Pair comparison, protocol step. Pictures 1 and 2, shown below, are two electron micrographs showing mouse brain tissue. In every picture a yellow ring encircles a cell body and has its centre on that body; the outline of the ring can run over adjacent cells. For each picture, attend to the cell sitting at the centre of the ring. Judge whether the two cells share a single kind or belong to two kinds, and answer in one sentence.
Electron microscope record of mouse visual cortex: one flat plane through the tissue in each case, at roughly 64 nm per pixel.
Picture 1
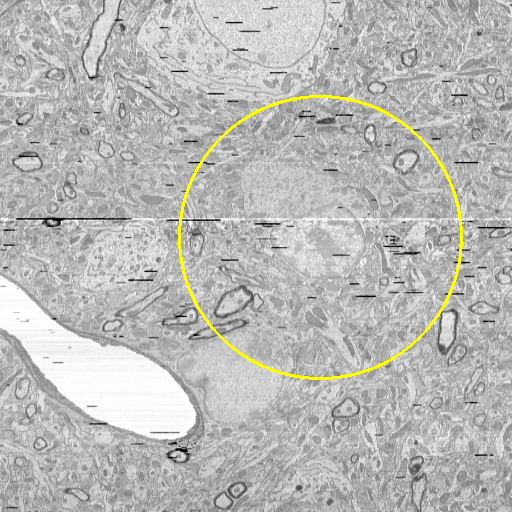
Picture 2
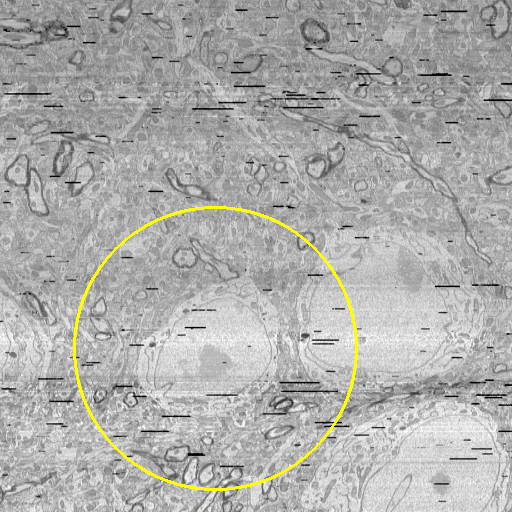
The two cells at the ring centres in Picture 1 and Picture 2 belong to two kinds.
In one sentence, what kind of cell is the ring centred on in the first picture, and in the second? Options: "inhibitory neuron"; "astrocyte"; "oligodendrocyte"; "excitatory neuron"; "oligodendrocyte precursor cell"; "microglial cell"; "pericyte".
The cell at the centre of the second ring is an excitatory neuron; the first ring's cell is an oligodendrocyte.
